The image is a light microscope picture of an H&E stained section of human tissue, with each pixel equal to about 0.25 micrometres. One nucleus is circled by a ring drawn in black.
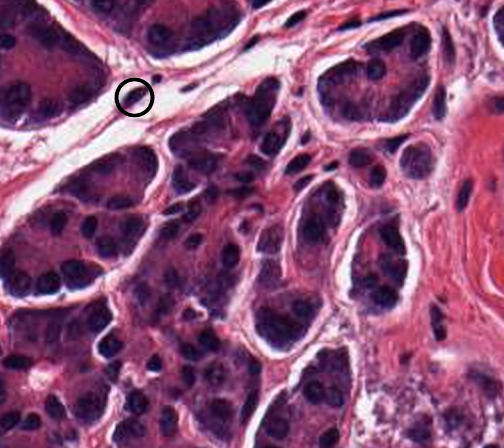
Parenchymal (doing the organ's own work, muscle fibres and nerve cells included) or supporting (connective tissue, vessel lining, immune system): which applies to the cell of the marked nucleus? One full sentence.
The marked nucleus belongs to a cell, and that cell is a supporting cell.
